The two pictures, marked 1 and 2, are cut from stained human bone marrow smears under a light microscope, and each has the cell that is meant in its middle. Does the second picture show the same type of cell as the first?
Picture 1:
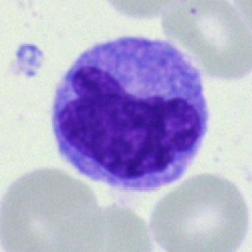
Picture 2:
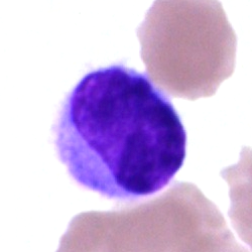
no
